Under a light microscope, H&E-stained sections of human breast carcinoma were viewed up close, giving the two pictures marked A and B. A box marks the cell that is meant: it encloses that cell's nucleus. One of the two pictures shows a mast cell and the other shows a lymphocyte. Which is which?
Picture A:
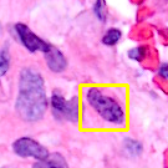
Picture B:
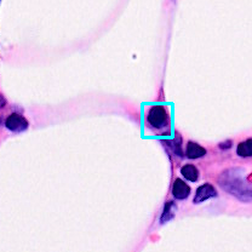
A: mast cell
B: lymphocyte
